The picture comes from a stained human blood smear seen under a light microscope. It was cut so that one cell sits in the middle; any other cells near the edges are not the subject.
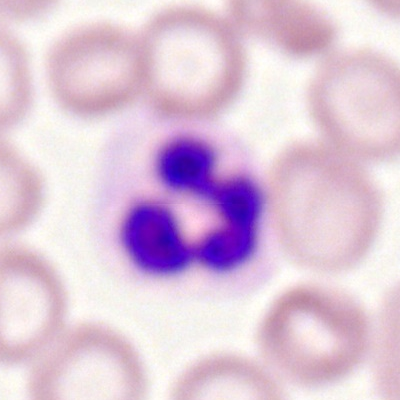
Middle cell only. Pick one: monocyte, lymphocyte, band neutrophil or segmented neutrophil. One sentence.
In the centre of this crop there is a segmented neutrophil.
